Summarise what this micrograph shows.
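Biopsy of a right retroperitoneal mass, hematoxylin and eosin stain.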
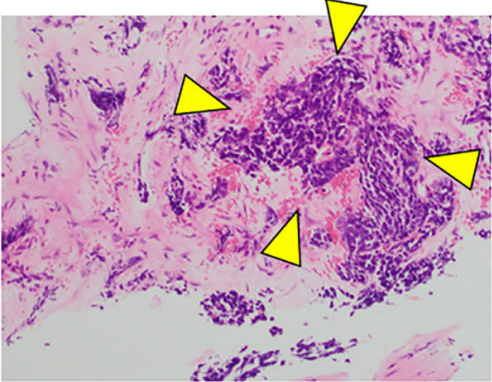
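Tumor tissue with nests and strands of small cells lying in a pale, glassy pink hyalinized stroma. The cells are tightly packed, with dark purple nuclei and scant cytoplasm, forming a large central cluster and smaller scattered groups. The stroma between the nests holds few nuclei and appears acellular in places.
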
